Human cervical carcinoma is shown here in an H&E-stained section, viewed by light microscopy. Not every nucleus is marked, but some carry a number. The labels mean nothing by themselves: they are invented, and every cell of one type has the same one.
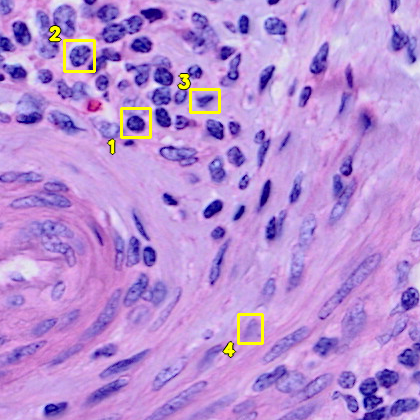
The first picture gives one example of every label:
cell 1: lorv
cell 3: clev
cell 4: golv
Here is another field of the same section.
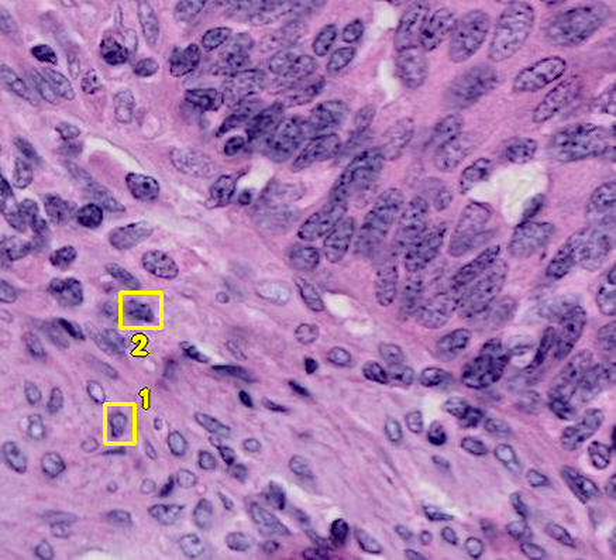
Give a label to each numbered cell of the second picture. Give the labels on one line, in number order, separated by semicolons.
golv; lorv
